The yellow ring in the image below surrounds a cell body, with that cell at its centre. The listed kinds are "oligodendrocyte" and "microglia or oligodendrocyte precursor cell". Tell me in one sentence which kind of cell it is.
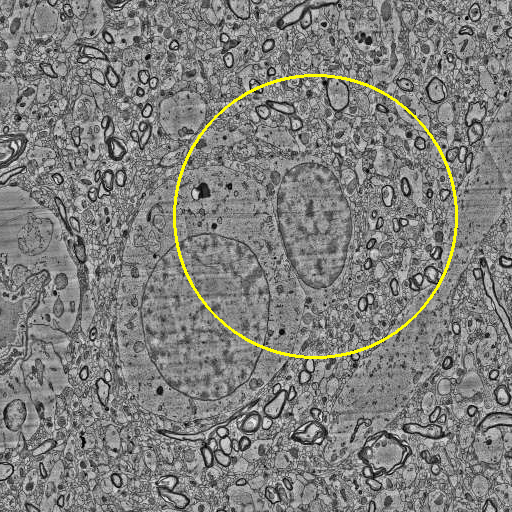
The centre of the ring holds an oligodendrocyte.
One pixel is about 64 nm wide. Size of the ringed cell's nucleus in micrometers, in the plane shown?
About 8 by 5 micrometers in this plane, so the nucleus is clearly longer than it is wide.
